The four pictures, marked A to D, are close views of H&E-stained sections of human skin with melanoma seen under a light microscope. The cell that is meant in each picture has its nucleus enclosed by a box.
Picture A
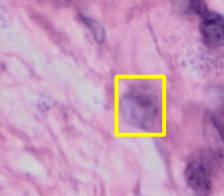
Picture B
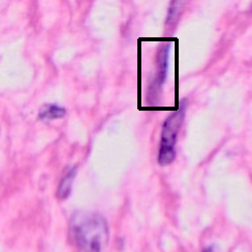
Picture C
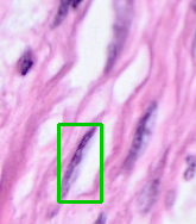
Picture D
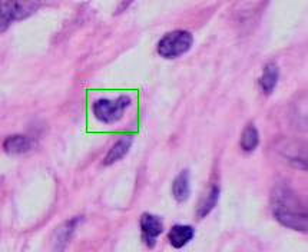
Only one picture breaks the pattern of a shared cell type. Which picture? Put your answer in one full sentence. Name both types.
Picture D is the odd one out: it shows a lymphocyte, while the others show “fibroblasts or myofibroblasts”.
